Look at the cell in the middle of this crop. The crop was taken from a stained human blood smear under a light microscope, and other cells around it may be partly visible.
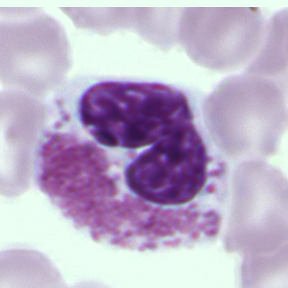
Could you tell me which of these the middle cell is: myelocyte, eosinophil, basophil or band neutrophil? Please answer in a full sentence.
Located at the centre of the crop is an eosinophil.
